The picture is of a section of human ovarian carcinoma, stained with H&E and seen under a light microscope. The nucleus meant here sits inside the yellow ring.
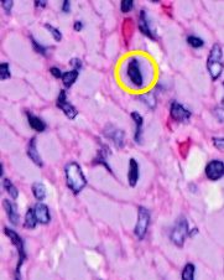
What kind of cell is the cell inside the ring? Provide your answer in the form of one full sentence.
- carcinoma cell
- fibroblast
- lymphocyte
Recorded by type, the cell inside the ring is a lymphocyte.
